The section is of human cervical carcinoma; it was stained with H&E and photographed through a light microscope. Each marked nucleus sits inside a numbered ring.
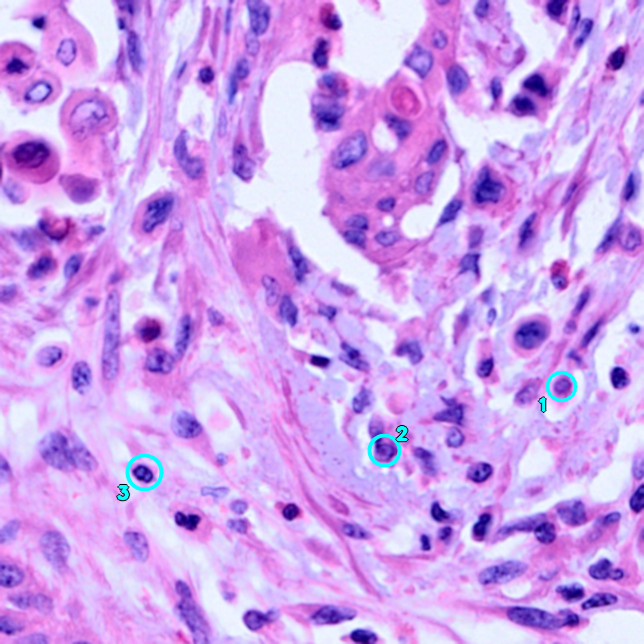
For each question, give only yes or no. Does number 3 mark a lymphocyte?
yes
